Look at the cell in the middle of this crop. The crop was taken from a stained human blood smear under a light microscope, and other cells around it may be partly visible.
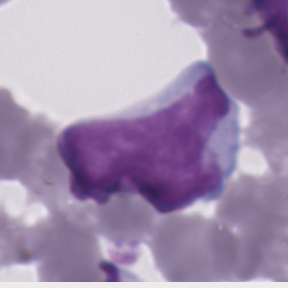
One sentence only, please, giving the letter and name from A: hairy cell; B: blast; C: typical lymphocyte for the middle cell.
This one is option B, since the cell at the center is a blast.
